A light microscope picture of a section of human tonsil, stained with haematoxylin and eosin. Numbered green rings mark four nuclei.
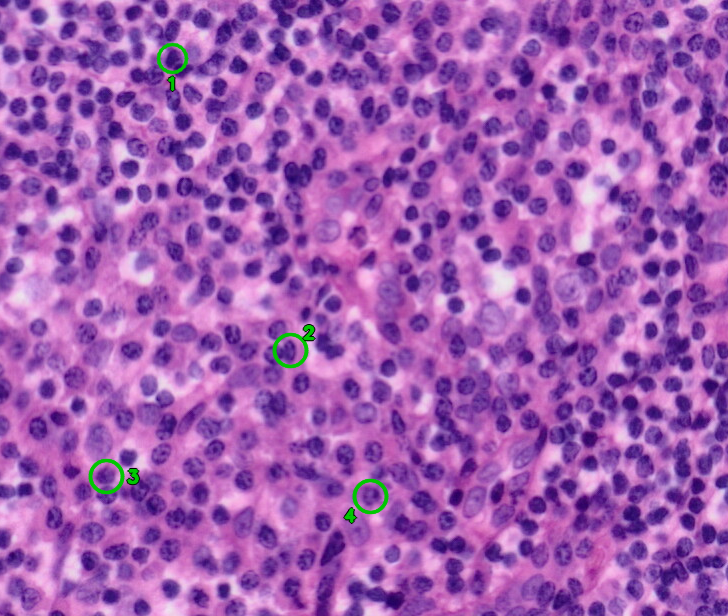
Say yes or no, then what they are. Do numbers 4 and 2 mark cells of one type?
Yes, both are plasma cells.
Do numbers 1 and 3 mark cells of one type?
No, cell 1 is a small lymphocyte and cell 3 is a plasma cell.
